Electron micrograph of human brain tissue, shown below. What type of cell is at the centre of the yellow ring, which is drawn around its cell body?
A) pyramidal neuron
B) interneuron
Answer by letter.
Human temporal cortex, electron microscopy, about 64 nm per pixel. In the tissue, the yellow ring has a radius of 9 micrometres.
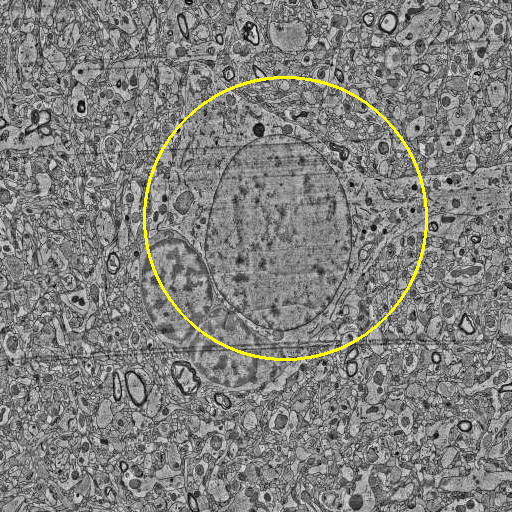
A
